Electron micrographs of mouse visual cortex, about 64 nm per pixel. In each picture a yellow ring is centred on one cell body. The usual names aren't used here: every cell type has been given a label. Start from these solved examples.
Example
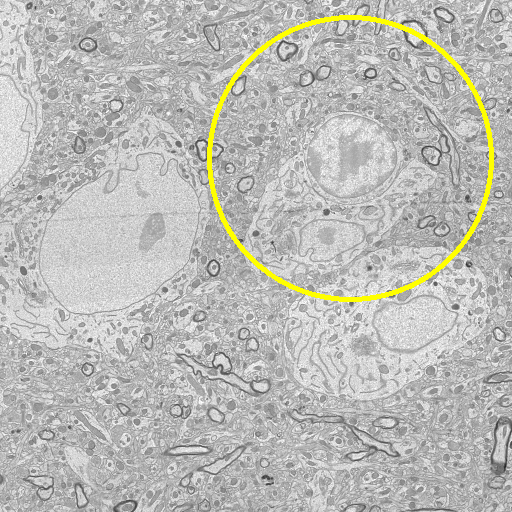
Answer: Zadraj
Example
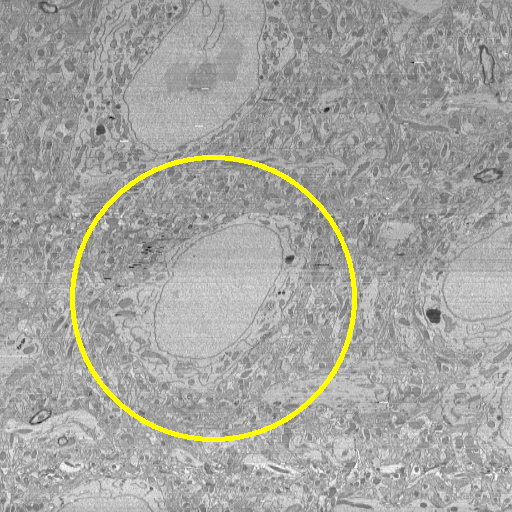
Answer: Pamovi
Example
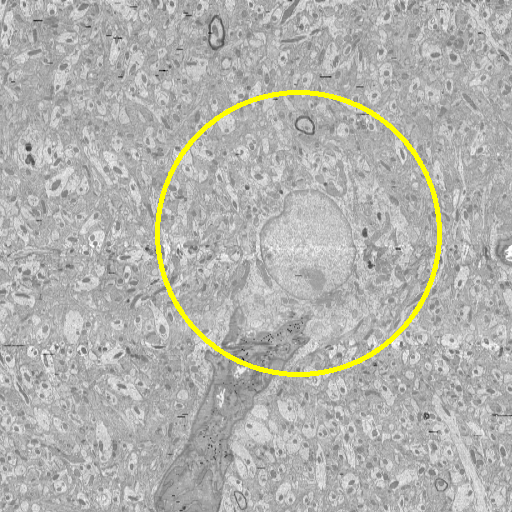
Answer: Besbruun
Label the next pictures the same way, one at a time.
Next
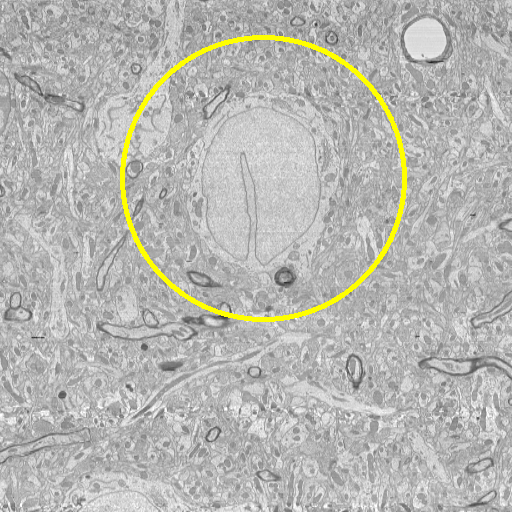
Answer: Pamovi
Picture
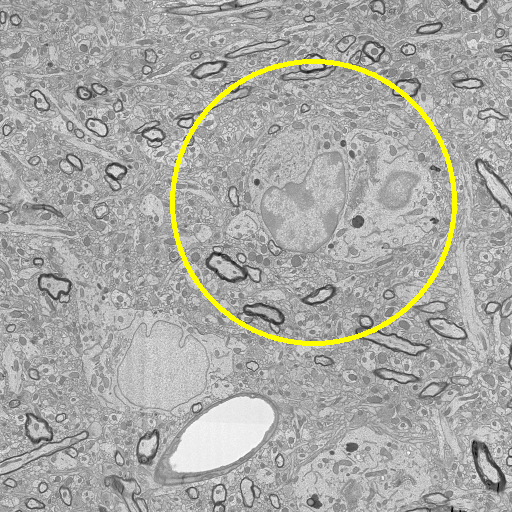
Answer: Zadraj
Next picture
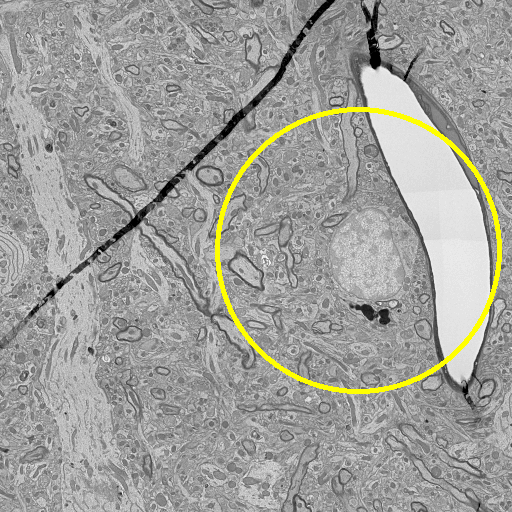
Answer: Zadraj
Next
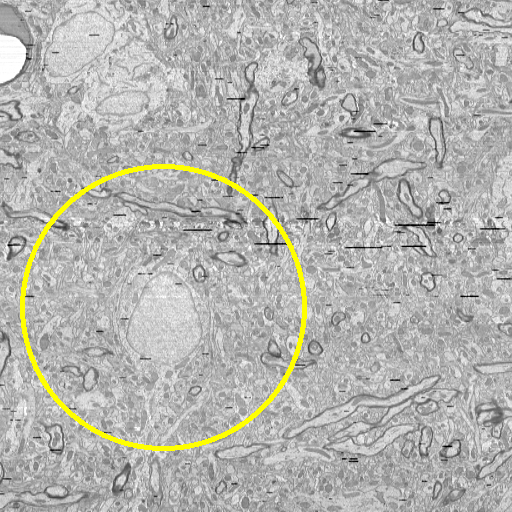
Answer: Besbruun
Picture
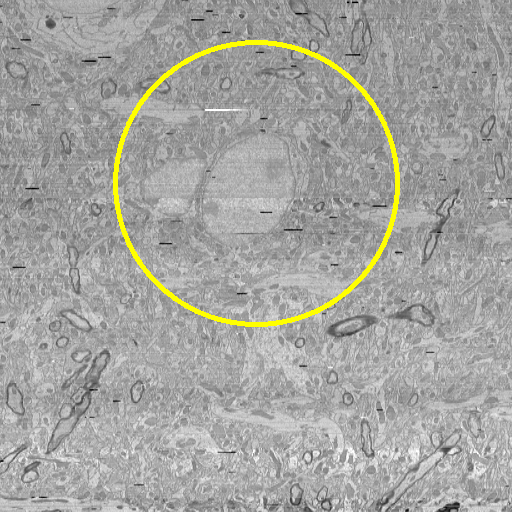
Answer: Besbruun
